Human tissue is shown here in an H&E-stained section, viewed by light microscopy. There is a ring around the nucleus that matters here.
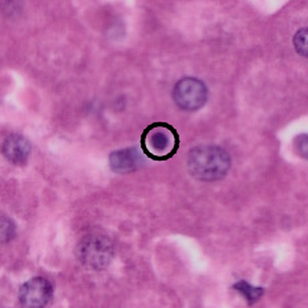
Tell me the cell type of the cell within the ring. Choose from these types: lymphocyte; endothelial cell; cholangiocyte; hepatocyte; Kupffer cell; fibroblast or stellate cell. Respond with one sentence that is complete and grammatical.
In cellular terms, the cell within the ring is a lymphocyte.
